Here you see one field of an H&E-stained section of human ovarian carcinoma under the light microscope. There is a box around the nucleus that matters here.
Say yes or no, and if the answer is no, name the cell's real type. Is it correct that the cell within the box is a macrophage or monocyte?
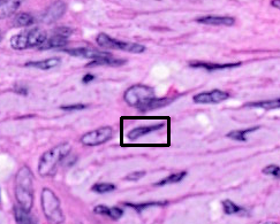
No, it is a fibroblast.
